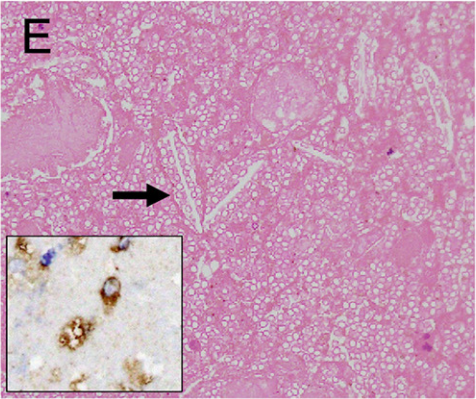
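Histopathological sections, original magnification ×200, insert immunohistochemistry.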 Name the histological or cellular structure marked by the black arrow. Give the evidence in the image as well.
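The arrow points to slender, needle-shaped empty spaces. The spaces are clear with sharp straight edges amid pink material.
Cholesterol clefts.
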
